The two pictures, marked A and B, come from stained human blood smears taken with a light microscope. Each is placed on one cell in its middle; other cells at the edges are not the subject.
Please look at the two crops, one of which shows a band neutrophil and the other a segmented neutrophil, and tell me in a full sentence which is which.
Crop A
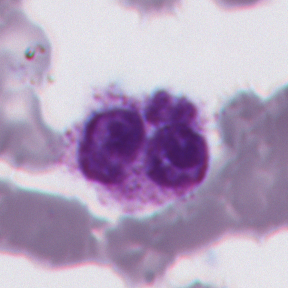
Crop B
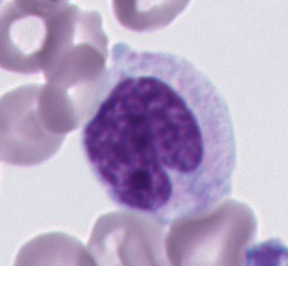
While crop A is a segmented neutrophil, crop B is a band neutrophil.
